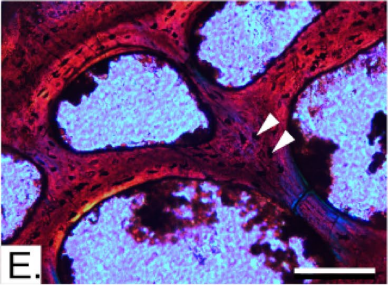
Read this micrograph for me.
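Many small dark lacunae of osteocytes dot the bone walls; some are rounded and globular, others flattened and aligned along the cavity borders. Thin layered bone lines the cavities.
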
